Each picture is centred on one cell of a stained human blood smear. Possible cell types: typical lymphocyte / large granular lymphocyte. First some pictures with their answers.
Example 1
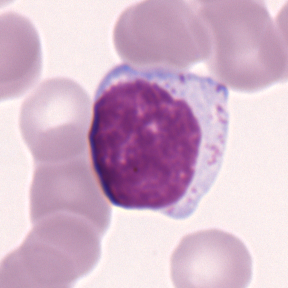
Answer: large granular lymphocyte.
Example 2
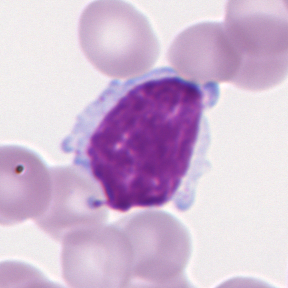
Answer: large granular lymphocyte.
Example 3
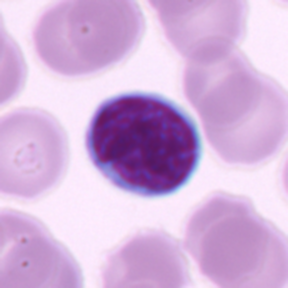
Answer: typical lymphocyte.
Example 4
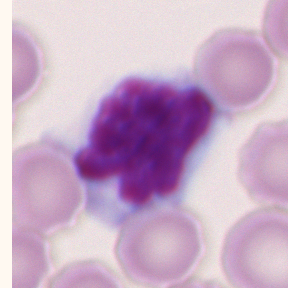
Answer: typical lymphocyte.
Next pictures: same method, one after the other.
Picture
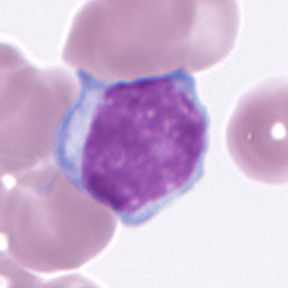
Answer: typical lymphocyte.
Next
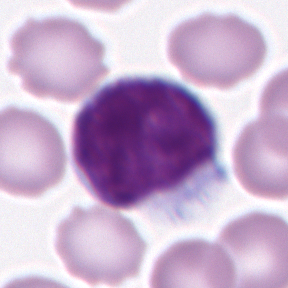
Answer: typical lymphocyte.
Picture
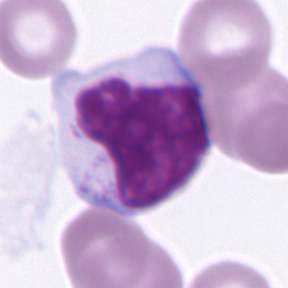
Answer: large granular lymphocyte.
